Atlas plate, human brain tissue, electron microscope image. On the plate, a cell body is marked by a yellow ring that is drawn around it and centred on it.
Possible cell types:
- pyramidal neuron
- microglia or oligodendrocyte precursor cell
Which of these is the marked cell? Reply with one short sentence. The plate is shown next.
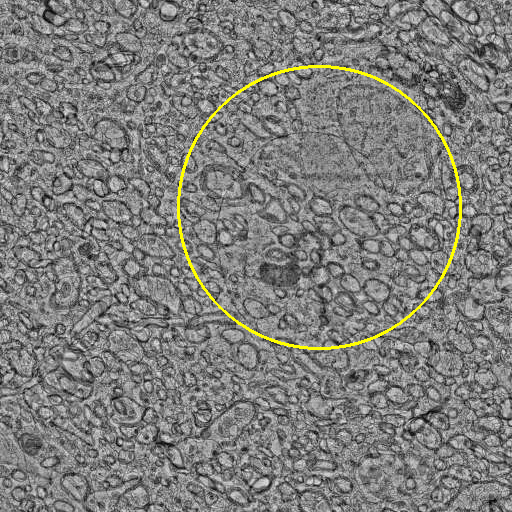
The marked cell is a pyramidal neuron.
